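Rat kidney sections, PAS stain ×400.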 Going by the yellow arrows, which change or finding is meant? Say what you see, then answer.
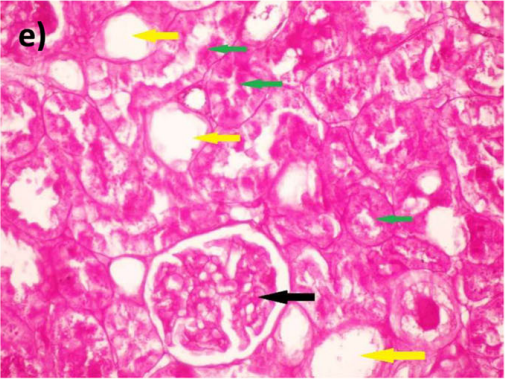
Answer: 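Damaged tubules. The marked spaces are dilated empty tubule lumina. The lining around them is thin and lacks a stained luminal fringe.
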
